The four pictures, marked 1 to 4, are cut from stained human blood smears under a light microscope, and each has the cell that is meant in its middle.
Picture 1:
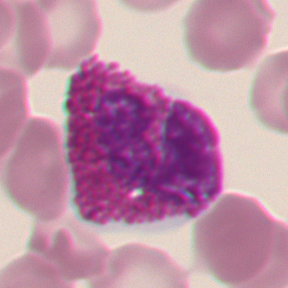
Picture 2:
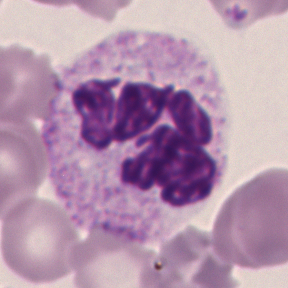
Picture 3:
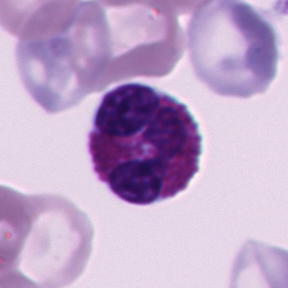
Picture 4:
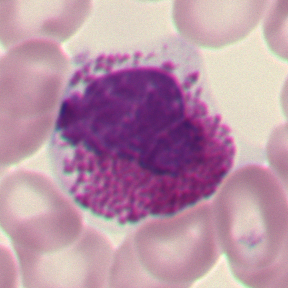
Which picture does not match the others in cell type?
2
